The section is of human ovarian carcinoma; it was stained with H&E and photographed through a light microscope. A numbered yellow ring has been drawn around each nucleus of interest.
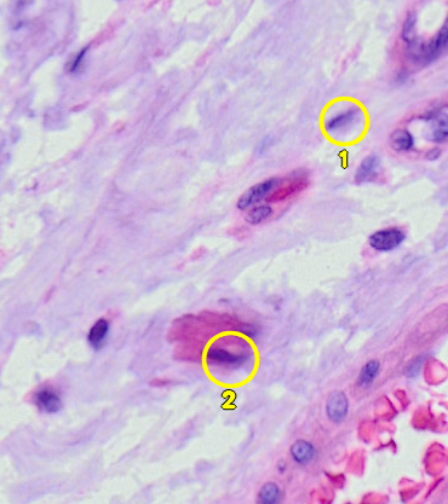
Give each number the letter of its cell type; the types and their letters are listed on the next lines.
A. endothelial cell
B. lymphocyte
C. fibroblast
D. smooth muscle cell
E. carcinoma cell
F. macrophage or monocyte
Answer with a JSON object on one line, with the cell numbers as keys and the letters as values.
{"1": "C", "2": "D"}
